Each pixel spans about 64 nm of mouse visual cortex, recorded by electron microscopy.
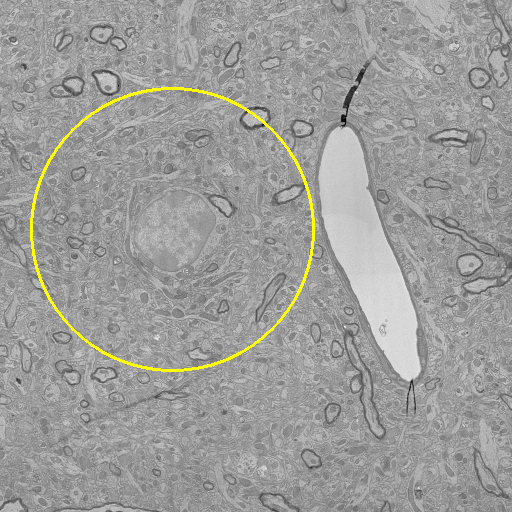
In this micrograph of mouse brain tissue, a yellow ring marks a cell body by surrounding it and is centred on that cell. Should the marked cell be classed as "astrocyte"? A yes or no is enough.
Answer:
no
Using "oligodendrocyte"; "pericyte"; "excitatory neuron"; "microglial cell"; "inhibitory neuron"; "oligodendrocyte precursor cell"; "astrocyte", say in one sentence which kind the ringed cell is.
The ringed cell in this picture is, instead, an oligodendrocyte.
